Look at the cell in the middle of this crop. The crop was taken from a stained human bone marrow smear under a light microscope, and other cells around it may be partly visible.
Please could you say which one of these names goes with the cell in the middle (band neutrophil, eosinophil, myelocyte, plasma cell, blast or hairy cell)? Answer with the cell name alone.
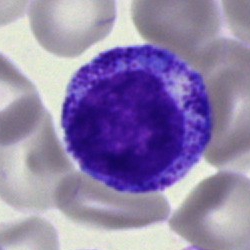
myelocyte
